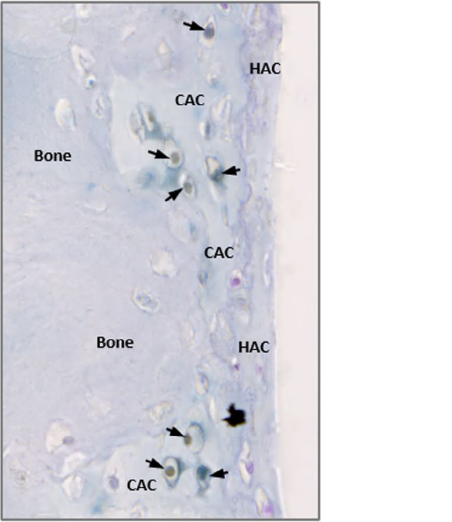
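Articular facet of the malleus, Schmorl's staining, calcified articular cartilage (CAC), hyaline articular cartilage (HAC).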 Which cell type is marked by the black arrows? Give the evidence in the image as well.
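Rounded cells sit singly or in small groups within lacunae of a pale cartilage matrix. The arrowed cells carry a dark blue-grey to brownish rim or content. Cells in the thin layer at the surface lack this dark content.
Answer: pigmented chondrons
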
